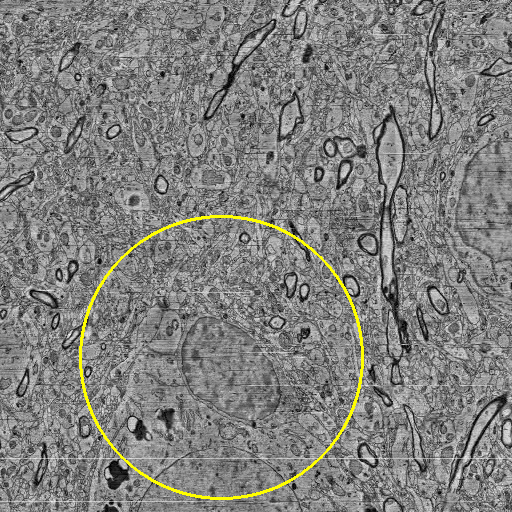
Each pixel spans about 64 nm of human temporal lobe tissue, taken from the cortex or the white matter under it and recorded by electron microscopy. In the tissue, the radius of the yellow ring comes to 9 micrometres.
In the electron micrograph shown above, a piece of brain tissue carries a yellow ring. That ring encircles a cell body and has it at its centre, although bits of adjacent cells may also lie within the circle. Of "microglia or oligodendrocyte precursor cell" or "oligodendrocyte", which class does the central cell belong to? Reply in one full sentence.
The cell body at the centre of the yellow ring belongs to an oligodendrocyte.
